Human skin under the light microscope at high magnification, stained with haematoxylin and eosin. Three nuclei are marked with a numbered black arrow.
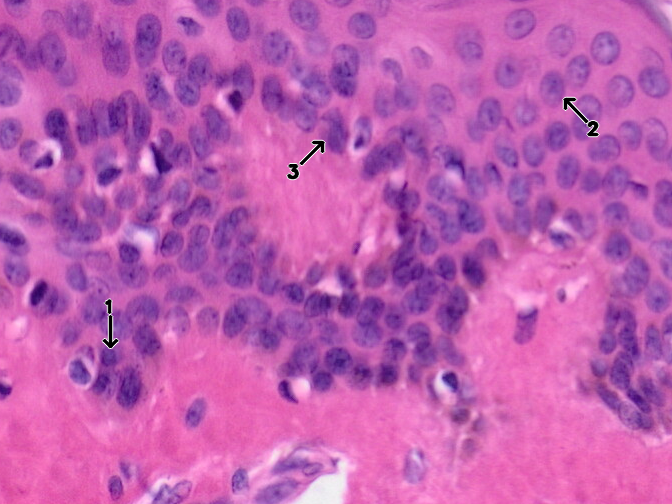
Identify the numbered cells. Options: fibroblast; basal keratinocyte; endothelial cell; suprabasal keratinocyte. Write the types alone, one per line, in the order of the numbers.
basal keratinocyte
suprabasal keratinocyte
basal keratinocyte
